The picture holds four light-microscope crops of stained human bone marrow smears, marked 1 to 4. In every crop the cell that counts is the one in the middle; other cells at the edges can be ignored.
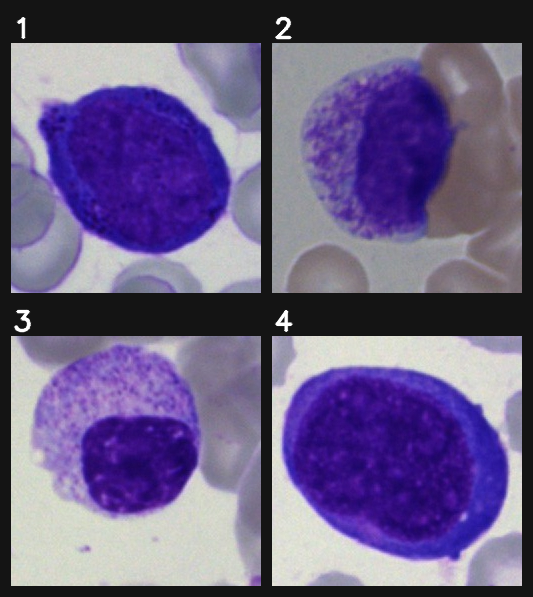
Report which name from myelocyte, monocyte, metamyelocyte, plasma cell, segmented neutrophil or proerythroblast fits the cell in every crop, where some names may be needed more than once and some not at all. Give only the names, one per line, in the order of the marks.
proerythroblast
myelocyte
myelocyte
proerythroblast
